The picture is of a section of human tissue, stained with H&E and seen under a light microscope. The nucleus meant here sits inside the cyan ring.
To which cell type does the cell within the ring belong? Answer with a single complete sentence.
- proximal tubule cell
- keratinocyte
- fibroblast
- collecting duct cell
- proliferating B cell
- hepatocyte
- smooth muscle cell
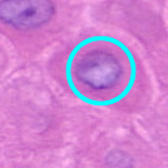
As to its cell type, the cell within the ring is a keratinocyte.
